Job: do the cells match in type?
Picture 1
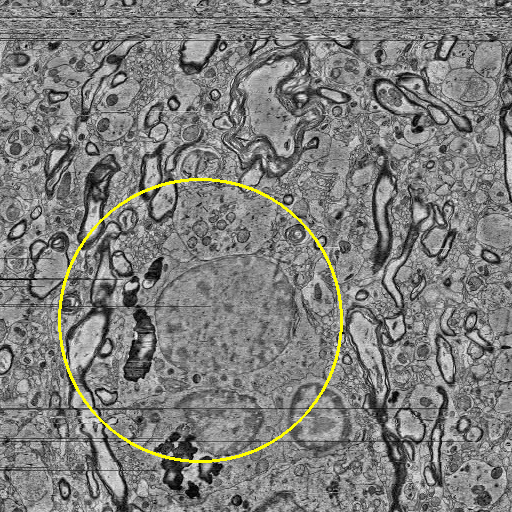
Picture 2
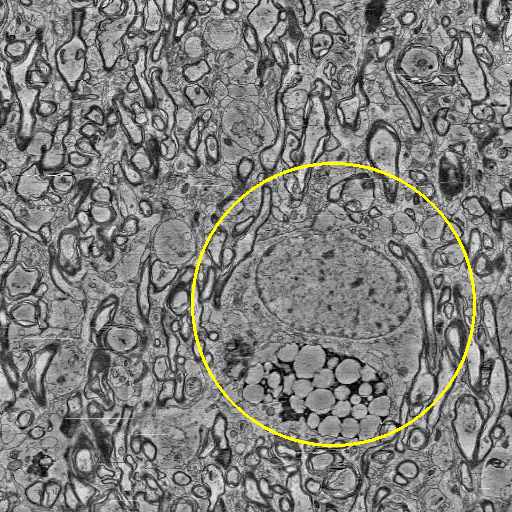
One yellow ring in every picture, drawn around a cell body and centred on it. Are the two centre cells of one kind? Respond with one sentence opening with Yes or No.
No, the ringed cells in the two pictures are of two separate kinds.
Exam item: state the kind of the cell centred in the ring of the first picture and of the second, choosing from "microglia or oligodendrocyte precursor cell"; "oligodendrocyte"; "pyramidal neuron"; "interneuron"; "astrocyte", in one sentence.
The first picture shows an oligodendrocyte at the ring centre and the second shows an astrocyte.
